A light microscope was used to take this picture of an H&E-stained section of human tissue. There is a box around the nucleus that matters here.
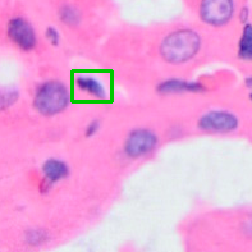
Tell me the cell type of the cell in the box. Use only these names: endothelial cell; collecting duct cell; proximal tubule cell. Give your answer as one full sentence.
Assigned to a cell type, the cell in the box is an endothelial cell.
